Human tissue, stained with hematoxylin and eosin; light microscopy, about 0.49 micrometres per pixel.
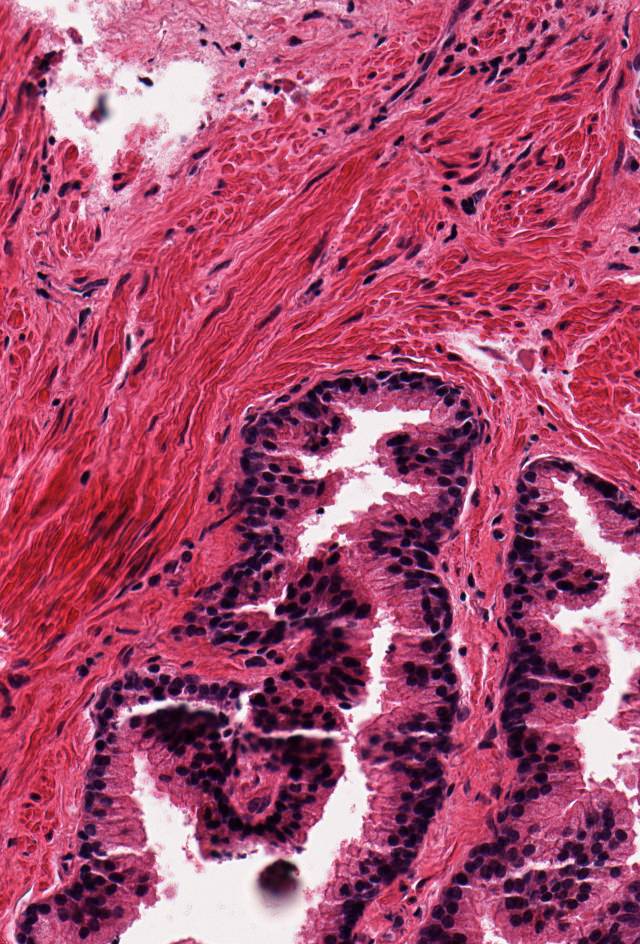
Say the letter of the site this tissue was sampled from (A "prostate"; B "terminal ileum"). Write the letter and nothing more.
A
